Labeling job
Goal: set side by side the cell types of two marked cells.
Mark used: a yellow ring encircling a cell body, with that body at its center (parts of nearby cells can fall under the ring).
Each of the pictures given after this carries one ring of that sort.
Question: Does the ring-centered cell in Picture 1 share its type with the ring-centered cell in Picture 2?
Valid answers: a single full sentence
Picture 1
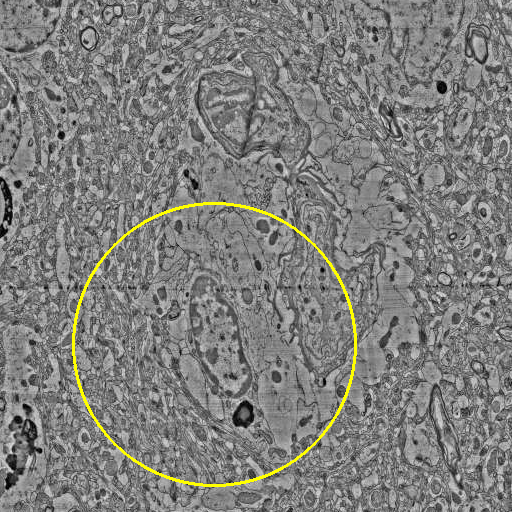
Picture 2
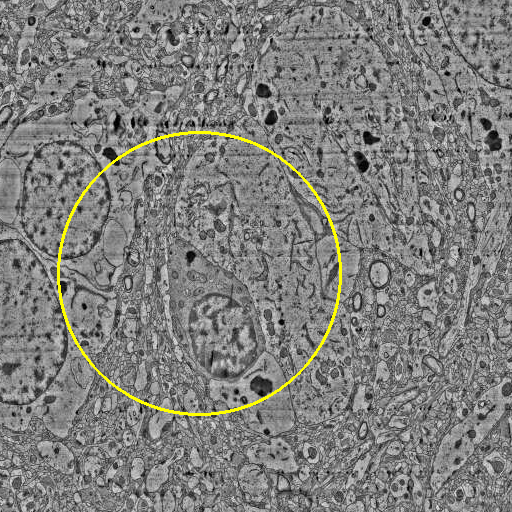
No, in Pictures 1 and 2 the cells at the ring centers have separate types.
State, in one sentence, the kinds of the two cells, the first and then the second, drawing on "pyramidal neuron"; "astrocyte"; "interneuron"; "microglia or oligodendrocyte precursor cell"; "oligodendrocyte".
The ring in the second picture is centred on an oligodendrocyte, the ring in the first on a microglial cell or oligodendrocyte precursor cell.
